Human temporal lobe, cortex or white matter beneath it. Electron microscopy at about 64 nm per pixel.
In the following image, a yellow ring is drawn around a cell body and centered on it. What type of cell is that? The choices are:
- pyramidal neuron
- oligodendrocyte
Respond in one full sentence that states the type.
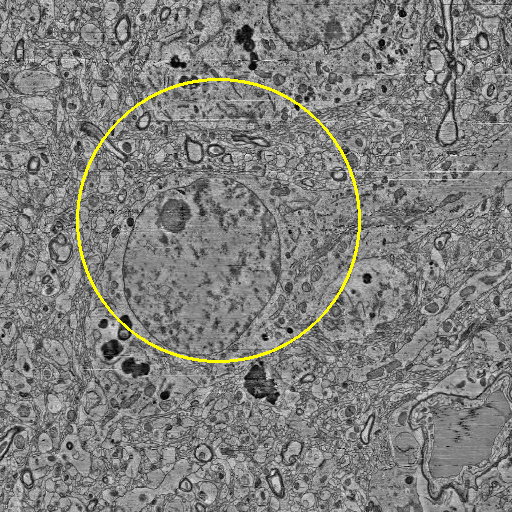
The cell at the center of the yellow ring in the image is a pyramidal neuron.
